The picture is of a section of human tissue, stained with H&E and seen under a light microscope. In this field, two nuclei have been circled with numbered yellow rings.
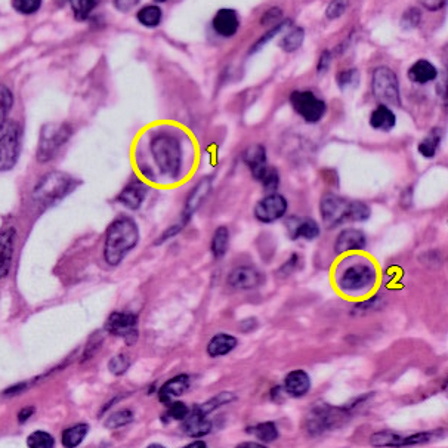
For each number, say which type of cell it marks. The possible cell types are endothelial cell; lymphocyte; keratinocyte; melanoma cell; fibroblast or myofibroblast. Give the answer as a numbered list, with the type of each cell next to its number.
1. melanoma cell
2. lymphocyte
